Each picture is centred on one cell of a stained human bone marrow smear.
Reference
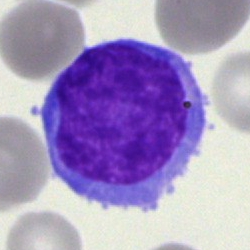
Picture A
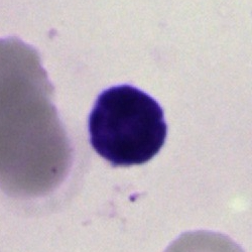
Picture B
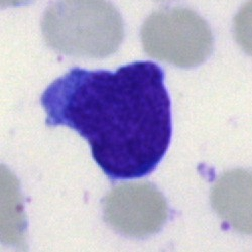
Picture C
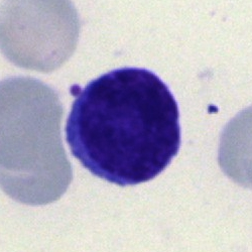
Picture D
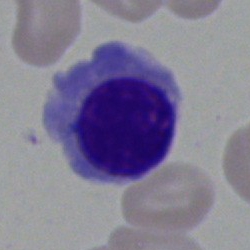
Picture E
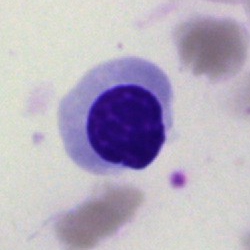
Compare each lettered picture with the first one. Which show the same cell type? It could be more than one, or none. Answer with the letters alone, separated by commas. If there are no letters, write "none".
B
